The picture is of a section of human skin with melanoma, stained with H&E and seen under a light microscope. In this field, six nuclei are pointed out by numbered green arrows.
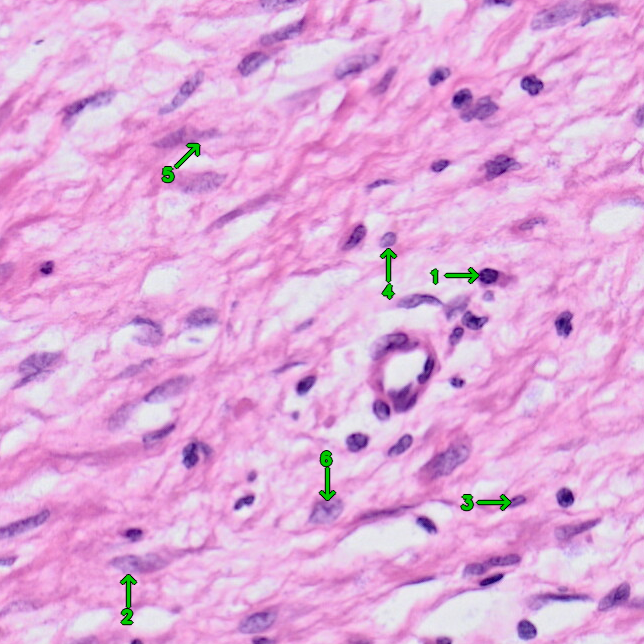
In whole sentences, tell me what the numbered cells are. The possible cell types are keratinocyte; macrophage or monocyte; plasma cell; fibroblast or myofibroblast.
Cell 1 is a plasma cell. Cells 2, 5 and 6 are fibroblasts or myofibroblasts. Cells 3 and 4 are macrophages or monocytes.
